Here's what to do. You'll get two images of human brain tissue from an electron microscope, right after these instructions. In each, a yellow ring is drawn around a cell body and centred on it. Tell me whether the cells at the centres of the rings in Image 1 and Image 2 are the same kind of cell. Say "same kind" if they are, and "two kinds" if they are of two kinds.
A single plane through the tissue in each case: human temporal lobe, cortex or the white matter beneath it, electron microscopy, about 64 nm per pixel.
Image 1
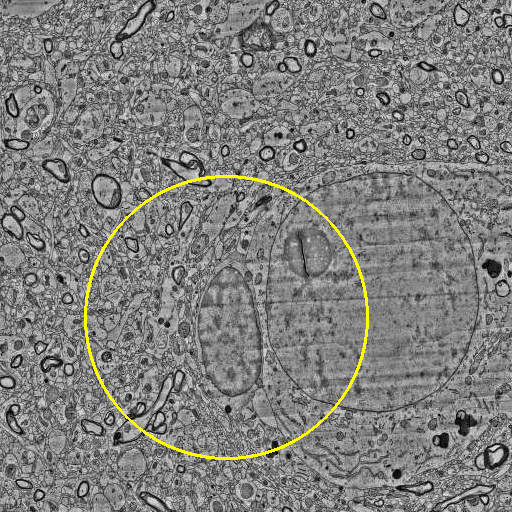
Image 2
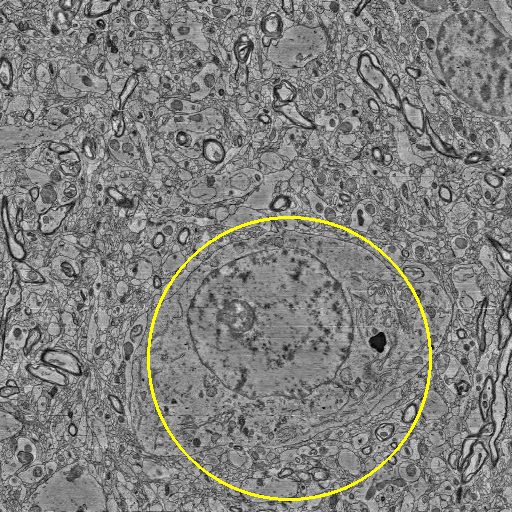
two kinds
